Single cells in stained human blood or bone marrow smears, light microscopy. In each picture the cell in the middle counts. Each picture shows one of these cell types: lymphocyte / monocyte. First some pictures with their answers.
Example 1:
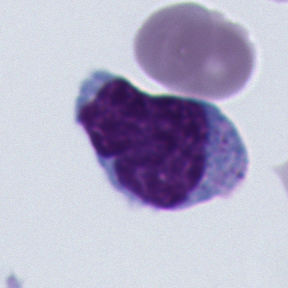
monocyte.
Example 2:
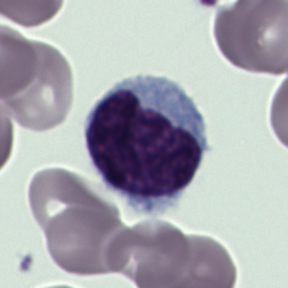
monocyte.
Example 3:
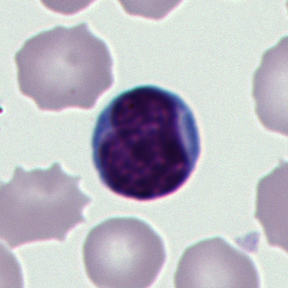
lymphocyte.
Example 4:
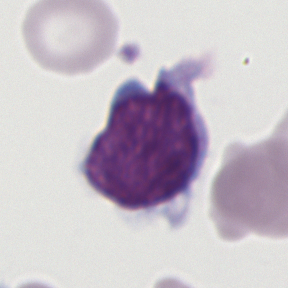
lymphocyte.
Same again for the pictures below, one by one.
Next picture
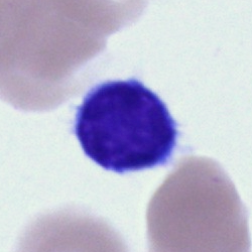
lymphocyte.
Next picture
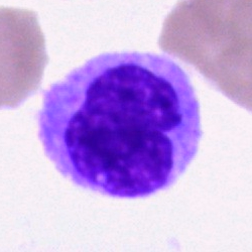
monocyte.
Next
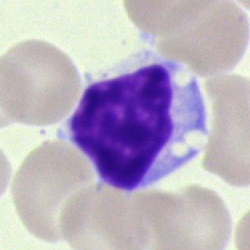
lymphocyte.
